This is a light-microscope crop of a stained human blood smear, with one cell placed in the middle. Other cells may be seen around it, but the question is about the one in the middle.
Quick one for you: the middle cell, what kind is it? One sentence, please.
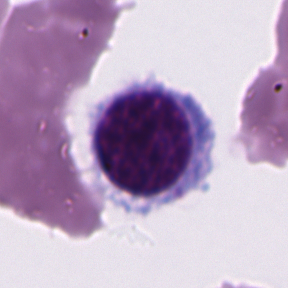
For this crop, the cell in the middle is a hairy cell.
